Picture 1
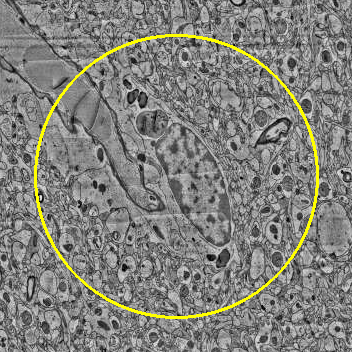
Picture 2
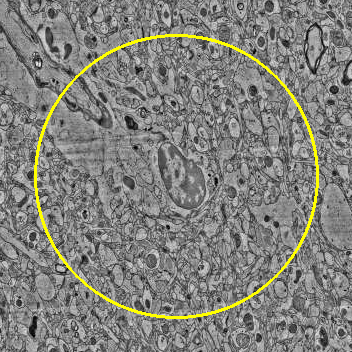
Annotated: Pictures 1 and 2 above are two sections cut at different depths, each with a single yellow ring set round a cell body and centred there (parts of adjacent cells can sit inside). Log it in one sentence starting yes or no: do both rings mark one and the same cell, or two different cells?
Yes, the two rings encircle a single cell, not a pair.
